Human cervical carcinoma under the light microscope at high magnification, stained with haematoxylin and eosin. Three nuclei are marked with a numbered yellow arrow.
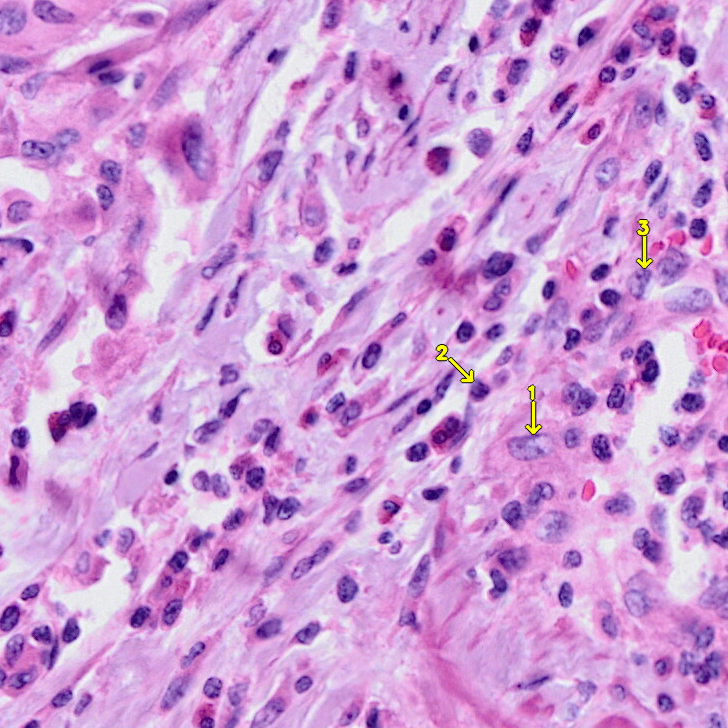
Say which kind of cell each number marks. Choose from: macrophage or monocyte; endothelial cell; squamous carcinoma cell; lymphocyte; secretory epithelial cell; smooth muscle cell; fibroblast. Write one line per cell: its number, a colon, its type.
1: endothelial cell
2: lymphocyte
3: endothelial cell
